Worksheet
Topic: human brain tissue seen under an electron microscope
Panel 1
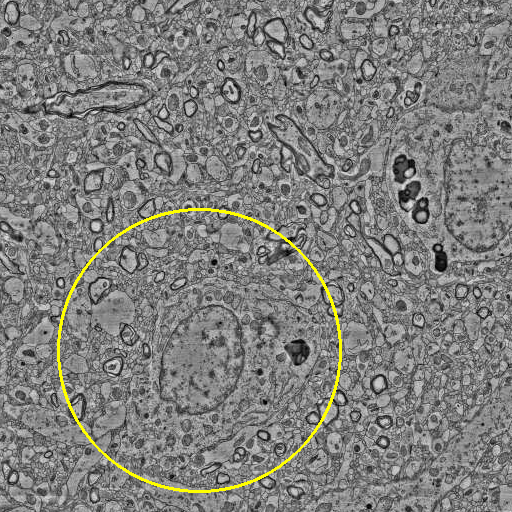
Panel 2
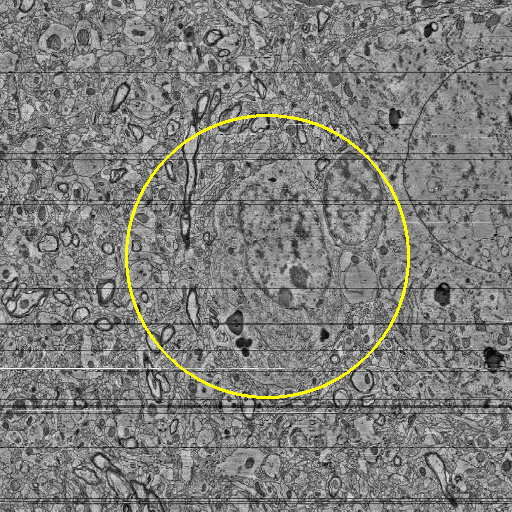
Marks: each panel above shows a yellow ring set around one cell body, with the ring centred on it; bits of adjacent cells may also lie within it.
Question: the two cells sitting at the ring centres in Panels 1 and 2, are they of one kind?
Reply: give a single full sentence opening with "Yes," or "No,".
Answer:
Yes, the two ring-centre cells in Panel 1 and Panel 2 are of one kind.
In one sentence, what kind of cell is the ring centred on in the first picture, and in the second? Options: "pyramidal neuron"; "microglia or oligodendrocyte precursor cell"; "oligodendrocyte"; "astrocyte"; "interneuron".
In both pictures the ring is centred on an interneuron.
